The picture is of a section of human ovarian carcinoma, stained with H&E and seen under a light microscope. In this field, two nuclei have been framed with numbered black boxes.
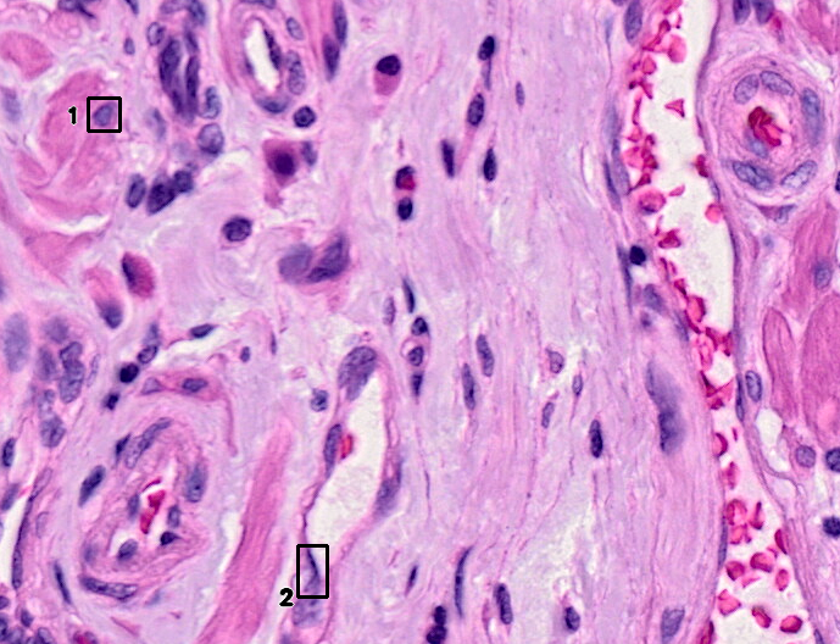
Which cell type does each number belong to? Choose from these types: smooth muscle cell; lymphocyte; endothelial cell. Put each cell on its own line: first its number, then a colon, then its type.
1: smooth muscle cell
2: endothelial cell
